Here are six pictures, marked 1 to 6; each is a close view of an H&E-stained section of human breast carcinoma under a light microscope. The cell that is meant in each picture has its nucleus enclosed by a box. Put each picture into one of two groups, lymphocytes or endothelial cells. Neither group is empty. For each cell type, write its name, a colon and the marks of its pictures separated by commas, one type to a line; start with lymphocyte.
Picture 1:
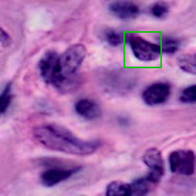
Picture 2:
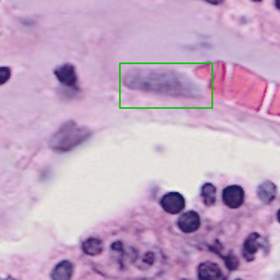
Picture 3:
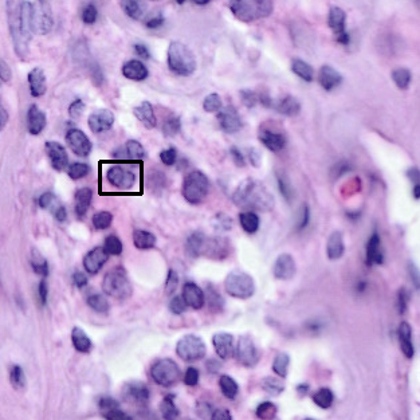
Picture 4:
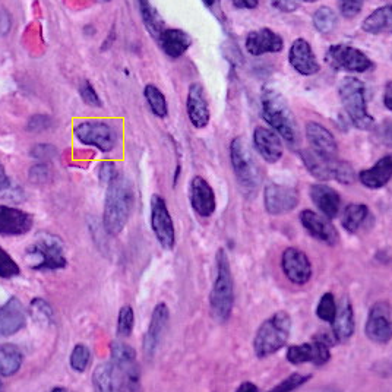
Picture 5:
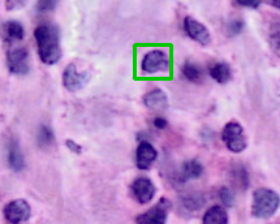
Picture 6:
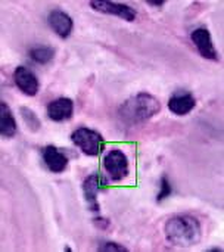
lymphocyte: 1, 3, 5, 6
endothelial cell: 2, 4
